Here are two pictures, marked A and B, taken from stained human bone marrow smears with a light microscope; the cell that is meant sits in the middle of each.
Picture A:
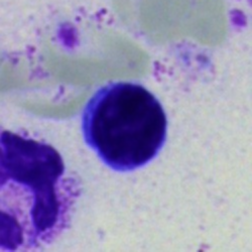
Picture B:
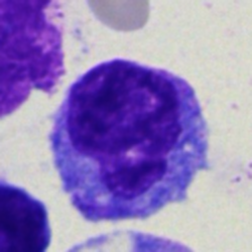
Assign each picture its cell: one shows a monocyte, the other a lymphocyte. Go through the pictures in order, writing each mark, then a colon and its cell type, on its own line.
A: lymphocyte
B: monocyte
